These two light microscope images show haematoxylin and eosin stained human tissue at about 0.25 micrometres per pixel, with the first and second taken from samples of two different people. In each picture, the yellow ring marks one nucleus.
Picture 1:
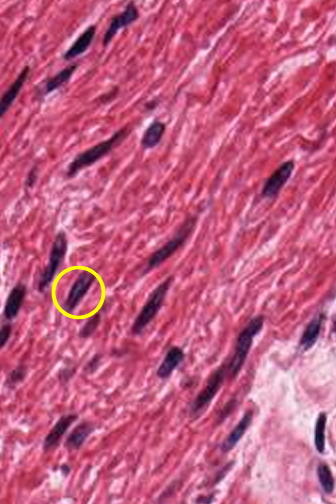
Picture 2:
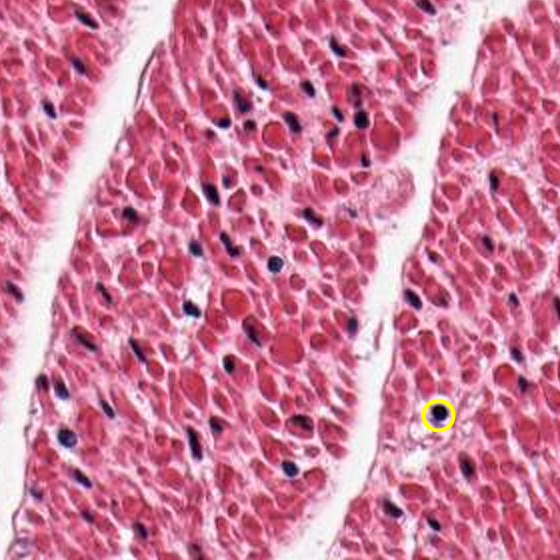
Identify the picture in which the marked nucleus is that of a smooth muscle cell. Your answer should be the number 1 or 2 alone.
1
